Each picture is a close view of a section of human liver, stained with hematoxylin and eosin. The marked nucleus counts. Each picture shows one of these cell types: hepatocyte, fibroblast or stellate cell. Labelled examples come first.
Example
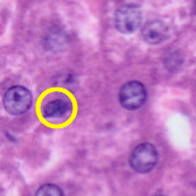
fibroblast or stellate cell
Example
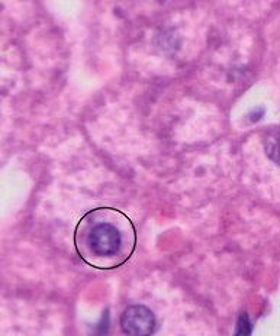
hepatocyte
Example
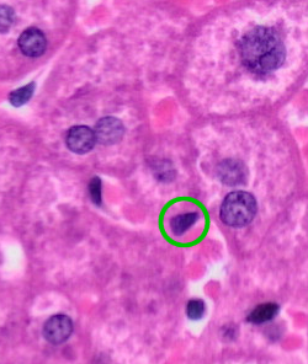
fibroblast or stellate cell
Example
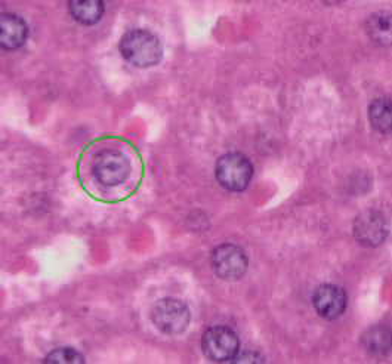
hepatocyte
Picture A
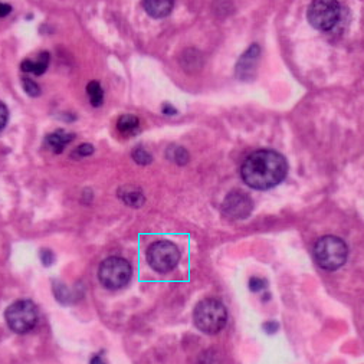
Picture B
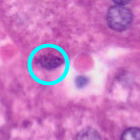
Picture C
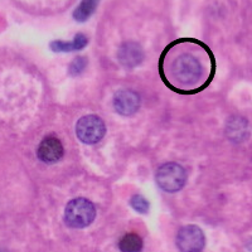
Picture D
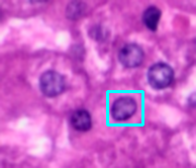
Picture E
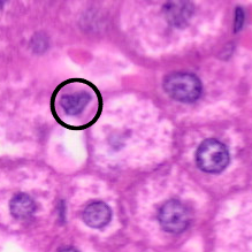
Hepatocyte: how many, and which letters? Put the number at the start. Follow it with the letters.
3: A, C, D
